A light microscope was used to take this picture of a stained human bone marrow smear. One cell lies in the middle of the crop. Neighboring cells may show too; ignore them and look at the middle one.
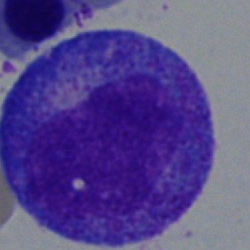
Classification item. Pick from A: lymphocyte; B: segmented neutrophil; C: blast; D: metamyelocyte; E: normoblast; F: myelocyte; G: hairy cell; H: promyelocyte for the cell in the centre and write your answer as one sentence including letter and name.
The central cell in this crop is a promyelocyte, corresponding to option H, the correct option.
